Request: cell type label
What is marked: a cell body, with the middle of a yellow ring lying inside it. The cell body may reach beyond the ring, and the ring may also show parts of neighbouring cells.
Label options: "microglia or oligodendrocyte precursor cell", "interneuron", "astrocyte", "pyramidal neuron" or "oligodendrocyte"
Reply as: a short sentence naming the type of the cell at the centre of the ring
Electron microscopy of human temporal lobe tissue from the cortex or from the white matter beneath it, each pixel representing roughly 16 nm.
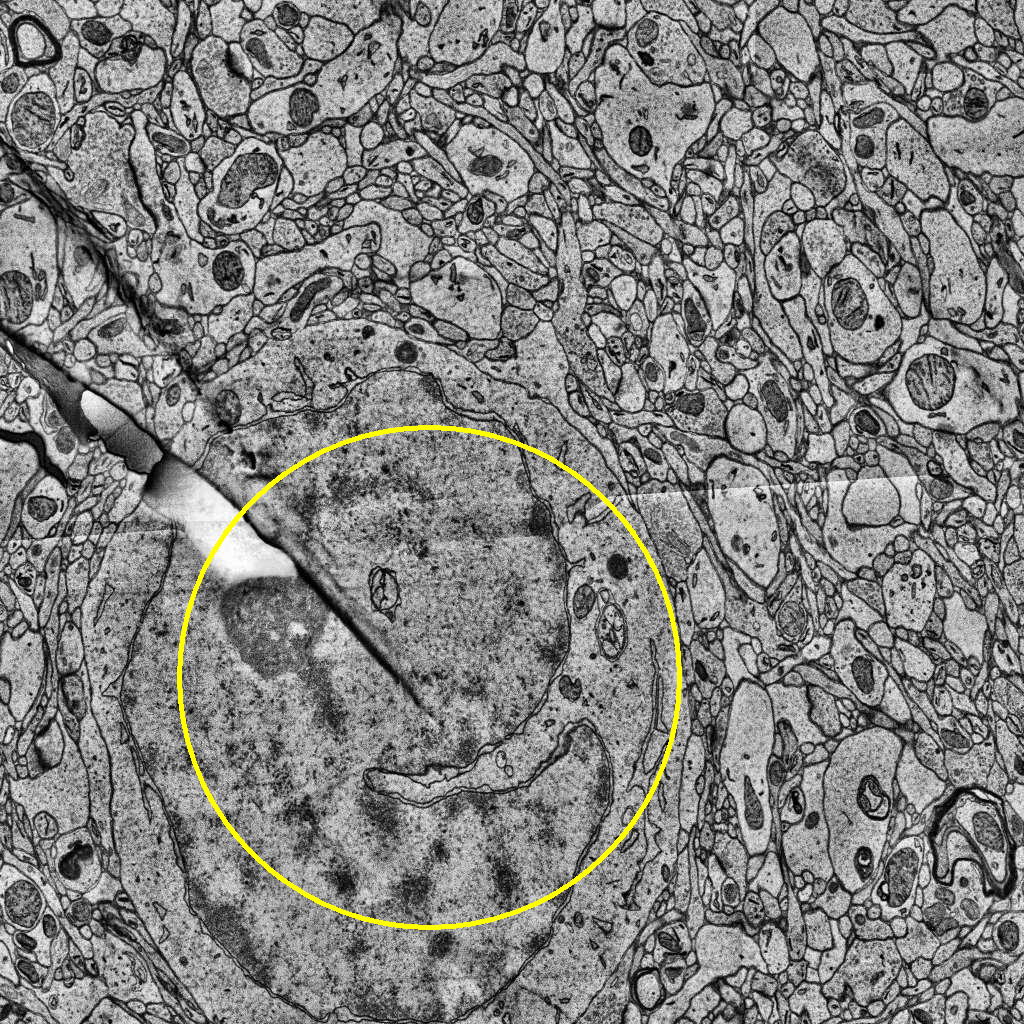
The marked cell body is that of an interneuron.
